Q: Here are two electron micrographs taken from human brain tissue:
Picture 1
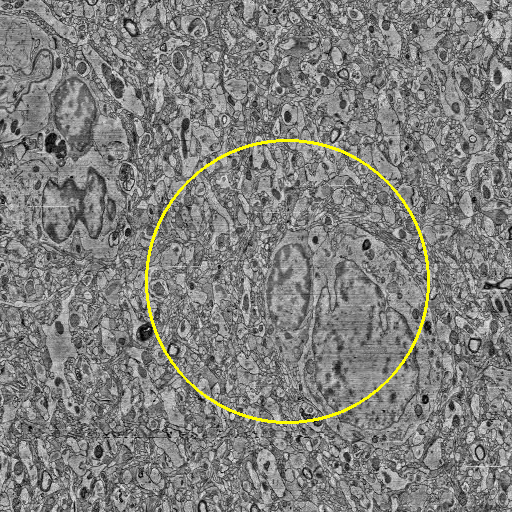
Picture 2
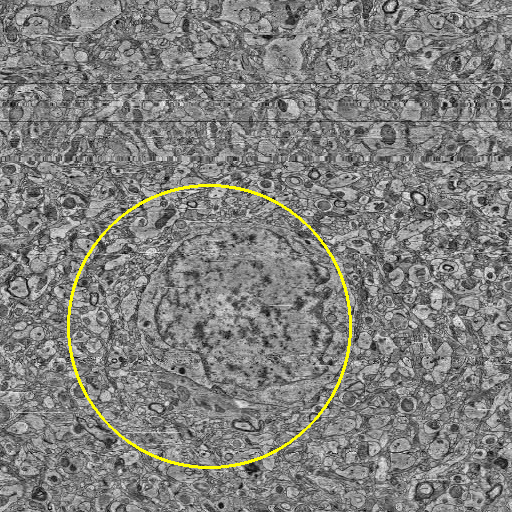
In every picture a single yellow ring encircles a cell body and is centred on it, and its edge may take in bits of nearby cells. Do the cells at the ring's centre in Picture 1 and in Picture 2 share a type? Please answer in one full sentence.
No, the cells at the ring's centre in Picture 1 and Picture 2 are of two types.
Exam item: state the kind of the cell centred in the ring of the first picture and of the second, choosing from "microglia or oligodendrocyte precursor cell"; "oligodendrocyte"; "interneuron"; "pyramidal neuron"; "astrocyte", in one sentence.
The first picture shows an oligodendrocyte at the ring centre and the second shows an interneuron.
